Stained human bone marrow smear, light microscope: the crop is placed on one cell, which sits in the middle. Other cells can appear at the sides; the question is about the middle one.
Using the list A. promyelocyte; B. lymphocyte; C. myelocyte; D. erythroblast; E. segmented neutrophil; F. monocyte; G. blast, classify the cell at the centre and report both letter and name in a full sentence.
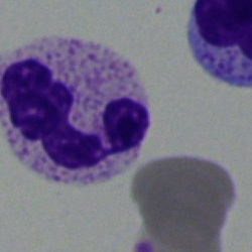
Option E is correct in that the central cell is a segmented neutrophil.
